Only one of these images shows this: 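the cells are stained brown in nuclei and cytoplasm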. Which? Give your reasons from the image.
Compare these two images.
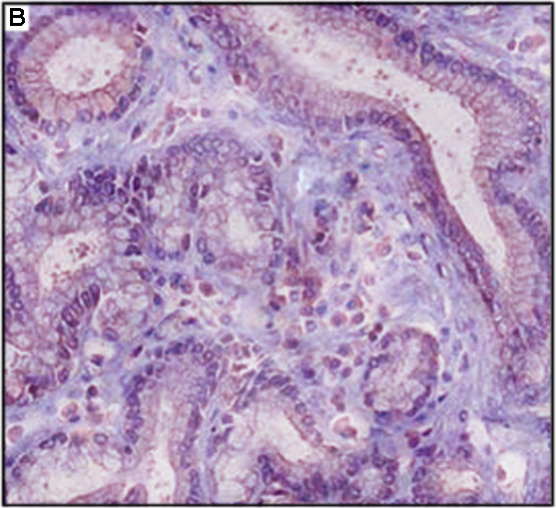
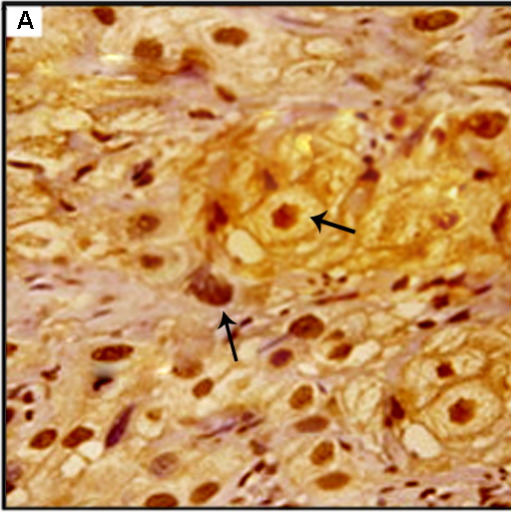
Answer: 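The second image. Second image: the cells show strong brown colour in cytoplasm and nuclei.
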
